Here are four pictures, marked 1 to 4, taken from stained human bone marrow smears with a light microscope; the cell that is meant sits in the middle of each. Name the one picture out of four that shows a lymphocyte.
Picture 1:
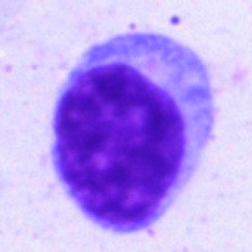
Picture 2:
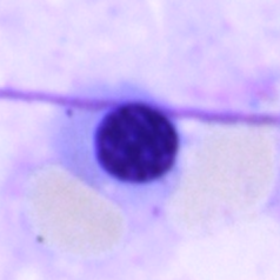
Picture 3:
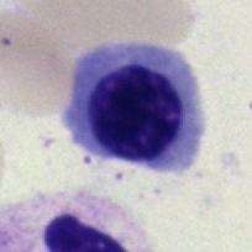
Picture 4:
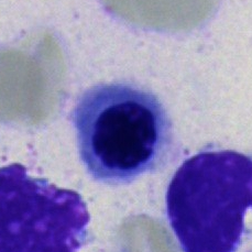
1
